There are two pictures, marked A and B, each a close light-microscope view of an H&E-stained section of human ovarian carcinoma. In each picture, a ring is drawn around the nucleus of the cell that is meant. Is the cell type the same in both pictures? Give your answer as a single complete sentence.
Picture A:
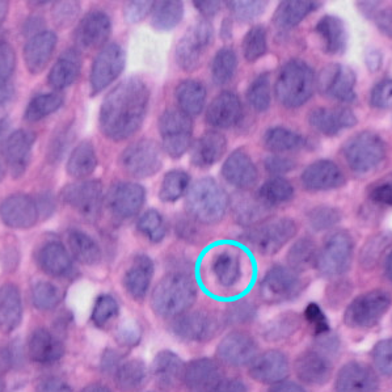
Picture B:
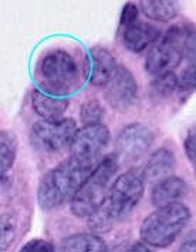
No, they differ: the cell is a “macrophage or monocyte” in picture A and a carcinoma cell in picture B.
